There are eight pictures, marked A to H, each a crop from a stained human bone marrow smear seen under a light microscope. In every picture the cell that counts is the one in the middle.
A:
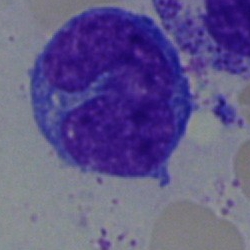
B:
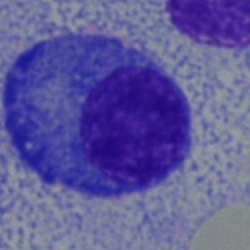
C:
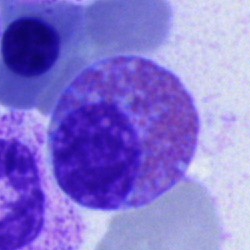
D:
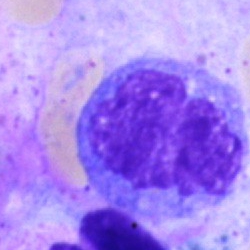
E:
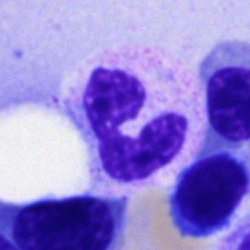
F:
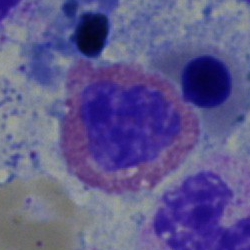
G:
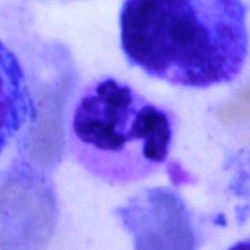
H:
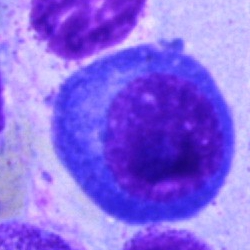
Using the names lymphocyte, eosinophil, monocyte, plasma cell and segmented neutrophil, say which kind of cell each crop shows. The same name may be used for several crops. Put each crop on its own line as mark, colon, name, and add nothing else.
A: monocyte
B: plasma cell
C: eosinophil
D: monocyte
E: segmented neutrophil
F: eosinophil
G: segmented neutrophil
H: plasma cell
